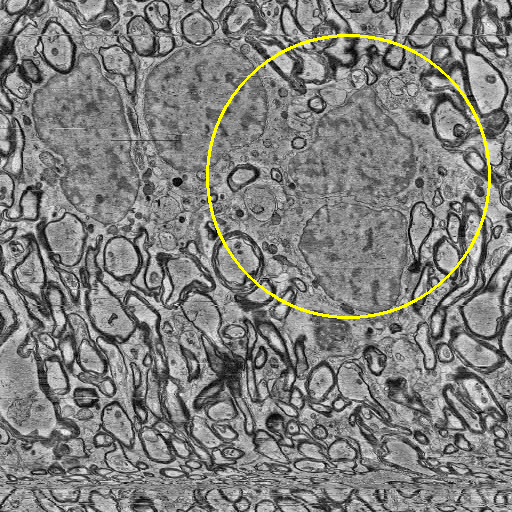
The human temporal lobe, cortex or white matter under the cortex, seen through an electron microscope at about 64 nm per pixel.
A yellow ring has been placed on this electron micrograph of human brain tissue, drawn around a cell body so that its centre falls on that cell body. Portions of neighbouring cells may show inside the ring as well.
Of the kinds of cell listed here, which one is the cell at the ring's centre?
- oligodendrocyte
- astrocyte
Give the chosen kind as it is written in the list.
oligodendrocyte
